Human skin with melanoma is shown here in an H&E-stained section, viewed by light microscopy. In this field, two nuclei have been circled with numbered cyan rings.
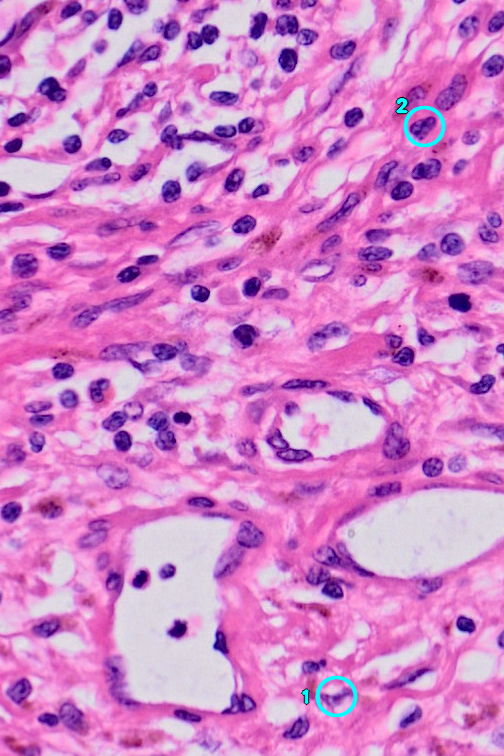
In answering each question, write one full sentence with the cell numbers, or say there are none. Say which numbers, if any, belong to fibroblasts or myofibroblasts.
Among all the marked cells, a fibroblast or myofibroblast is found only at number 1.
